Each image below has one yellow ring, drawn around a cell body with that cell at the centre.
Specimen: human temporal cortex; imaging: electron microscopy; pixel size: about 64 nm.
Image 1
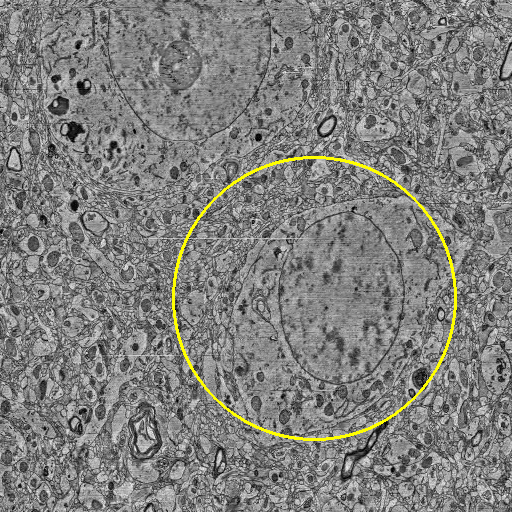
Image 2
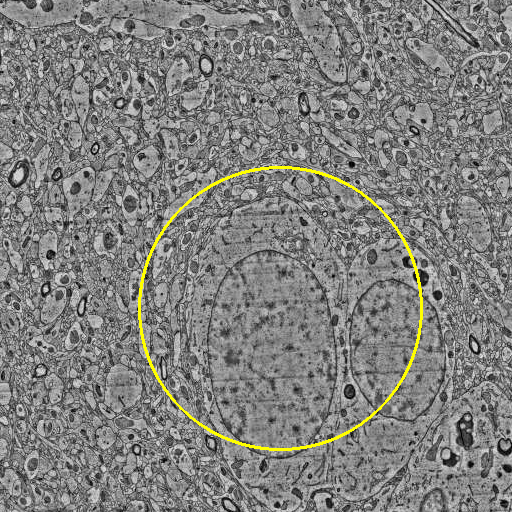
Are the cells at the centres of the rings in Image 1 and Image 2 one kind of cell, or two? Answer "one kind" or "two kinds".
one kind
